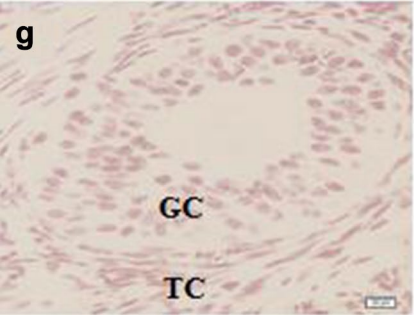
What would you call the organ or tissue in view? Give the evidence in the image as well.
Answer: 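Small follicle. A ring of several layers of rounded cells surrounds a small central cavity. Concentric layers of elongated spindle-shaped cells encircle the ring.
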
